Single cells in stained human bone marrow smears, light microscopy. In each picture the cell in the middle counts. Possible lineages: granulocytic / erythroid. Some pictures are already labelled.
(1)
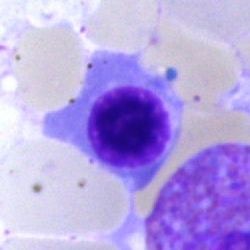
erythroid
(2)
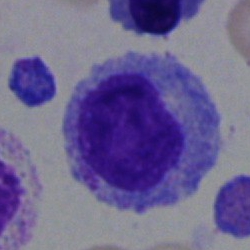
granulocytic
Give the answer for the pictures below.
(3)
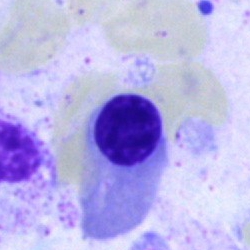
erythroid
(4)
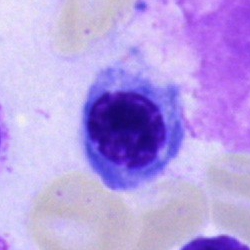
erythroid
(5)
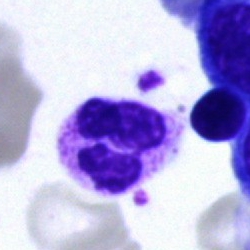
granulocytic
